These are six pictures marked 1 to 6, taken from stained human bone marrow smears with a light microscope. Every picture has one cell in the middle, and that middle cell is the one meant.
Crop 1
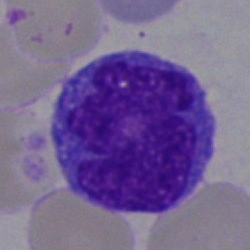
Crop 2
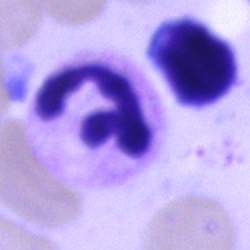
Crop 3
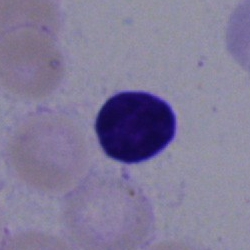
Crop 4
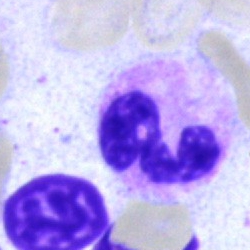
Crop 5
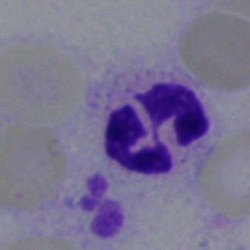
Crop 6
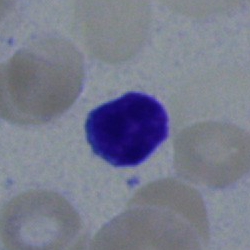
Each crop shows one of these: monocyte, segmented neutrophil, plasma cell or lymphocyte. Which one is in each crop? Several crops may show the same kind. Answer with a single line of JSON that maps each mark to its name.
{"1": "monocyte", "2": "segmented neutrophil", "3": "lymphocyte", "4": "segmented neutrophil", "5": "segmented neutrophil", "6": "lymphocyte"}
